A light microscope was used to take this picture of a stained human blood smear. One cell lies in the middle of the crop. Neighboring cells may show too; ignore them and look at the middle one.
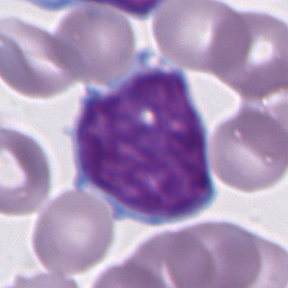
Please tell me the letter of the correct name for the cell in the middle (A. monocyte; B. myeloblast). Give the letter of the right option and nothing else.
B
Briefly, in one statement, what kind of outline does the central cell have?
The perimeter of the cell is irregular, with ragged sections or outward projections.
